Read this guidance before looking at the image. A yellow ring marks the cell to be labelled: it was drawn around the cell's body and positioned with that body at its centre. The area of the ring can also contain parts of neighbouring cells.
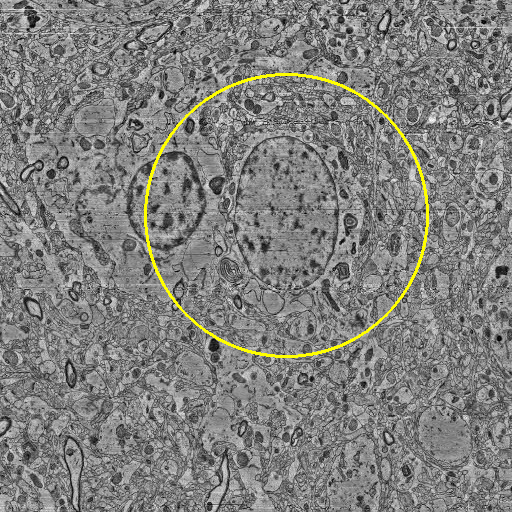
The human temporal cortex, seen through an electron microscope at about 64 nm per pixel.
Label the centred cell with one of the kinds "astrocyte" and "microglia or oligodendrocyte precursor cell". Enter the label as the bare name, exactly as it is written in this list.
astrocyte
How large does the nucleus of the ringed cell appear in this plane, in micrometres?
About 10 by 7 micrometres in this plane; clearly longer than it is wide.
